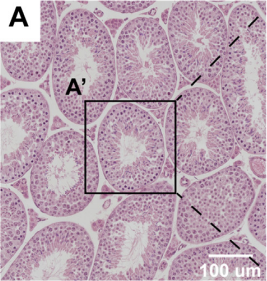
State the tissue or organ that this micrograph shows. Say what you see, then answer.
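Testicular. Many round tubules in cross-section packed tightly together. Thin interstitial tissue lies between the tubules.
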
